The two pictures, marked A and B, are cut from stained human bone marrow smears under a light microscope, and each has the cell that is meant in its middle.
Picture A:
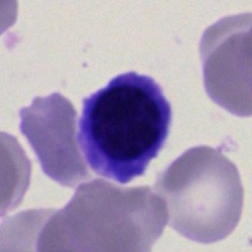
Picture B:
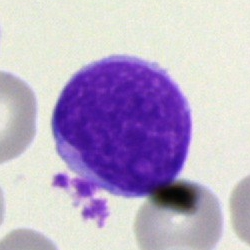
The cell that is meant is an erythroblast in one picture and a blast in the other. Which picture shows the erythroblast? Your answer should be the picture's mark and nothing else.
A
